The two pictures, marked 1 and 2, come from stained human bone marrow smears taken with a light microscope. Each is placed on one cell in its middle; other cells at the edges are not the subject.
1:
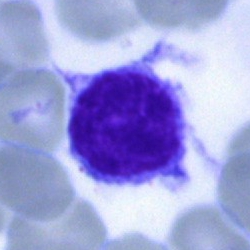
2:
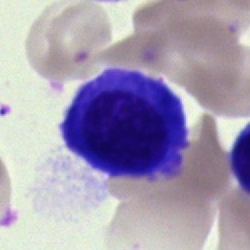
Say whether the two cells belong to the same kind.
no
